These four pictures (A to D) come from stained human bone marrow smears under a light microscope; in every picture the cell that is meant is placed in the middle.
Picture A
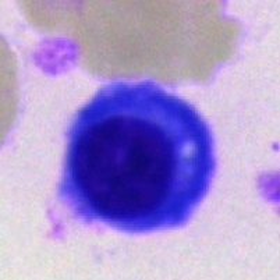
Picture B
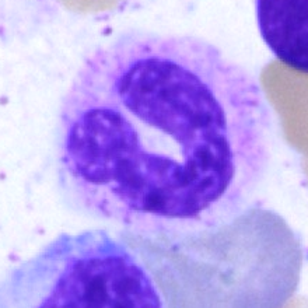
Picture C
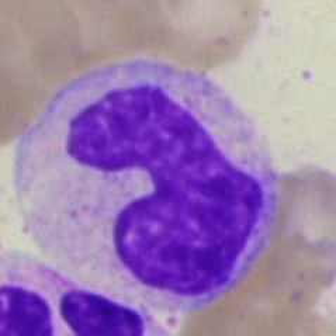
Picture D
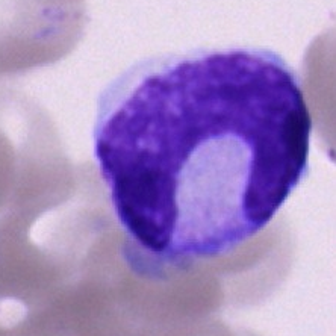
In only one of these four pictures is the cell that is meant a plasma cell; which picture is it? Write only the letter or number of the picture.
A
